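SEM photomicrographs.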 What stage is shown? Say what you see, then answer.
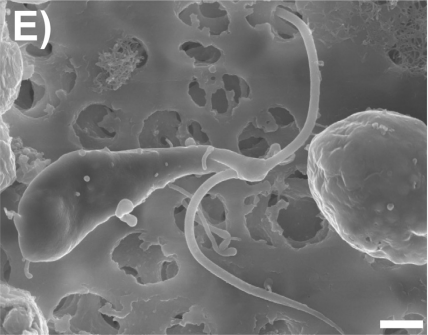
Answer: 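The flagellated cell tapers into a narrow anterior end bearing the flagella. The body is clearly longer than wide. On this evidence: elongated.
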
